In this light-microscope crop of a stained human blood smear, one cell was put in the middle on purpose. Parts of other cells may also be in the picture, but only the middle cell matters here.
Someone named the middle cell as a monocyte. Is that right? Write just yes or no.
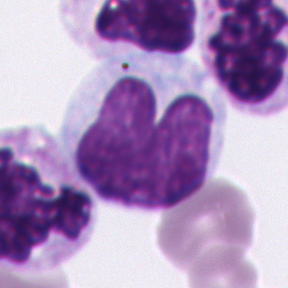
yes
